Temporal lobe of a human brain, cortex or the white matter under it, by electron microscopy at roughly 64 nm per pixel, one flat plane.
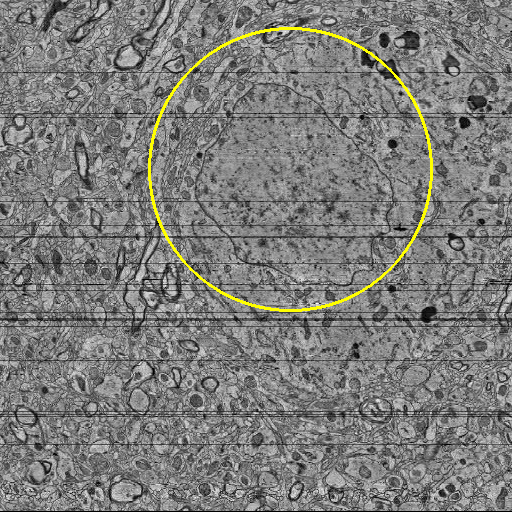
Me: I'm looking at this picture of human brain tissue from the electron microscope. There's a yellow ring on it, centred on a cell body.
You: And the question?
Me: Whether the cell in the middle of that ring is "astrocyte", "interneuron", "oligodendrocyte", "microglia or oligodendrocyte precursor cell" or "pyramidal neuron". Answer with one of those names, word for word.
pyramidal neuron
